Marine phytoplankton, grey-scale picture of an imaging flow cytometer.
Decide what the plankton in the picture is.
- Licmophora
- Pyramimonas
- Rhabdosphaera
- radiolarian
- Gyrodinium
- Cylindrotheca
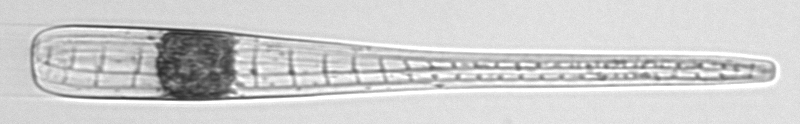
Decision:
Licmophora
